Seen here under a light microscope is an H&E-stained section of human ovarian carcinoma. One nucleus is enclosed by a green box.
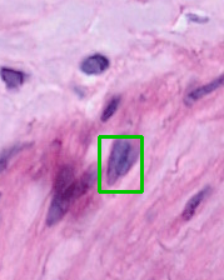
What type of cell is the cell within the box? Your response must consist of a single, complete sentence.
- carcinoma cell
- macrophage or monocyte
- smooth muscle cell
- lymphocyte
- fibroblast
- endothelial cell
The identity of the cell within the box: it is a smooth muscle cell.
